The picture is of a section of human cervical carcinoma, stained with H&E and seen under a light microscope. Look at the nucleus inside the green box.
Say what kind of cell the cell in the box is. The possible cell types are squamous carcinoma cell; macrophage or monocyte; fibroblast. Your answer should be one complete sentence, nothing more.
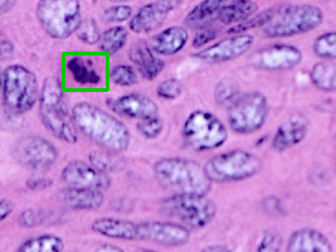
In cell-type terms, the cell in the box is a squamous carcinoma cell.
